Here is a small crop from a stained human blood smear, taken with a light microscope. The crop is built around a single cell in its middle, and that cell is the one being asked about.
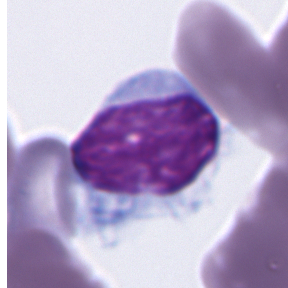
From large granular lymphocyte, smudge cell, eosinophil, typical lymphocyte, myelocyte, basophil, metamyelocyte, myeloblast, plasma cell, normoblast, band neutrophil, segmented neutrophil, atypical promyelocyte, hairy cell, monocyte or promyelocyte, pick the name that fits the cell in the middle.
hairy cell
